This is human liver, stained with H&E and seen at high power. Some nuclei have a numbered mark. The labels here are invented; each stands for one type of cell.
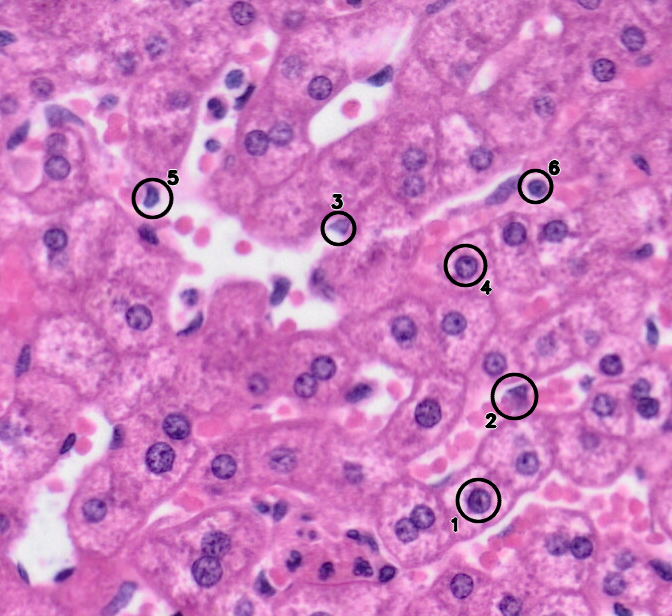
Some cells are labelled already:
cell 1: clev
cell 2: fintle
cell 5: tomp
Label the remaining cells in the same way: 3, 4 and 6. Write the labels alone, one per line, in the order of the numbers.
fintle
clev
tomp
